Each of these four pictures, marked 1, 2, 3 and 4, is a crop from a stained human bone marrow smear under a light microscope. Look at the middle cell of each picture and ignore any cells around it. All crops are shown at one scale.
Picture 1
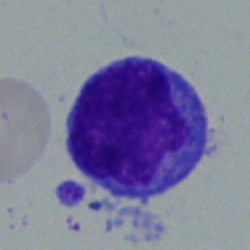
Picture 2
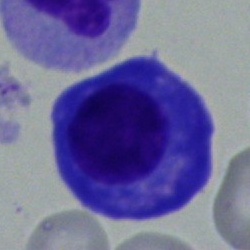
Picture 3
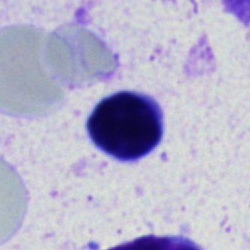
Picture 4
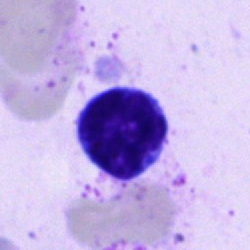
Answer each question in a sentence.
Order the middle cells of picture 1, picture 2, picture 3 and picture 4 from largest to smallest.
Going down, they run 2, 1, 4, 3.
